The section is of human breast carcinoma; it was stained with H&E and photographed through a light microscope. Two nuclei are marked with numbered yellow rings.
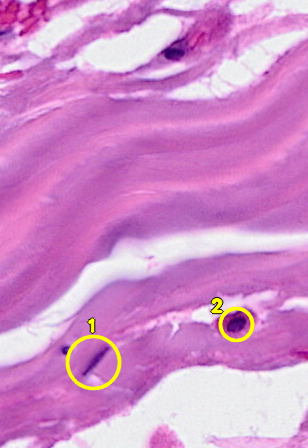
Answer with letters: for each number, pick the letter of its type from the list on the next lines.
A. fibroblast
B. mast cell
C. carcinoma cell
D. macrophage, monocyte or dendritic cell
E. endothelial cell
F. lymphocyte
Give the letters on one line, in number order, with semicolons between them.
A; B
